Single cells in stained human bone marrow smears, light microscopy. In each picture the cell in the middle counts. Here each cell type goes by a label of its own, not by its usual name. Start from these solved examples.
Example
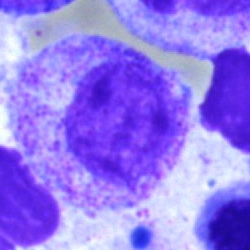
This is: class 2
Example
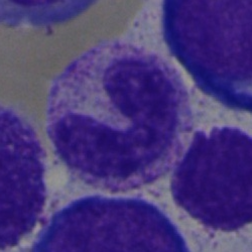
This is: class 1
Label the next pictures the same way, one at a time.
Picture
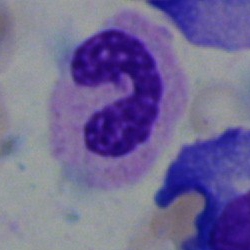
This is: class 1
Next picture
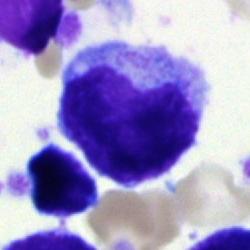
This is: class 2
